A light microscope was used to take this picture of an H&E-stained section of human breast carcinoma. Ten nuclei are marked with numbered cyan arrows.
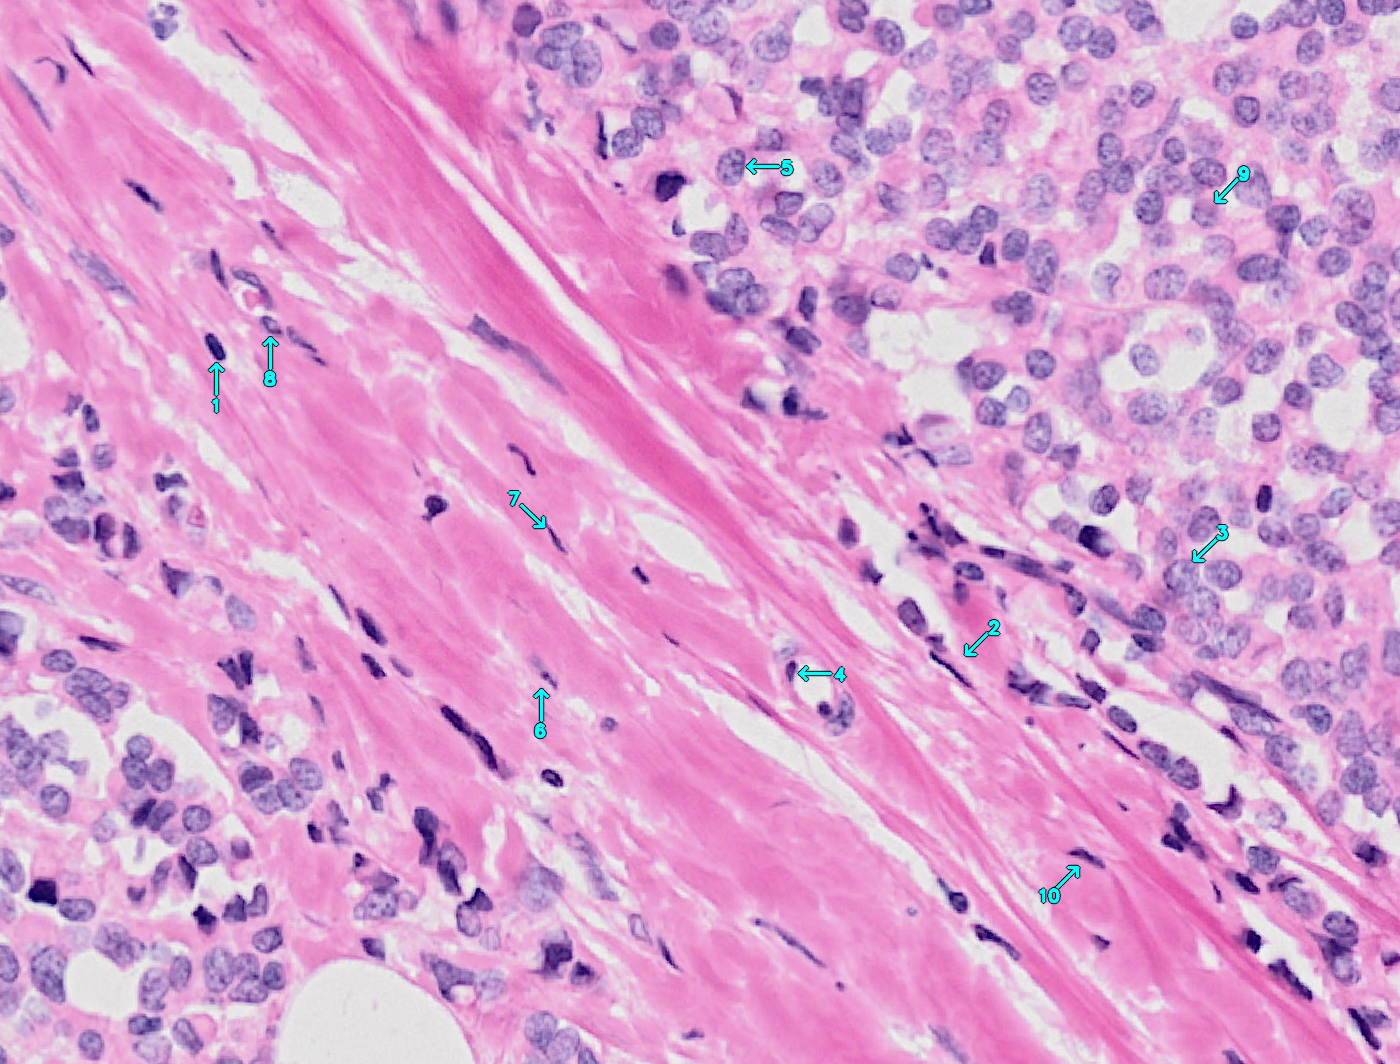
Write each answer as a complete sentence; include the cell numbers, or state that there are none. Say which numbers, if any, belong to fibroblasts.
Cells 2, 6, 7 and 10 share one type; they are fibroblasts.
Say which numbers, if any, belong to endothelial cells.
Cells that were given the numbers 4 and 8 are endothelial cells.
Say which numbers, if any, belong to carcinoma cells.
The cells shown with numbers 3, 5 and 9 are carcinoma cells.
